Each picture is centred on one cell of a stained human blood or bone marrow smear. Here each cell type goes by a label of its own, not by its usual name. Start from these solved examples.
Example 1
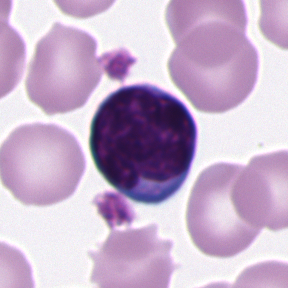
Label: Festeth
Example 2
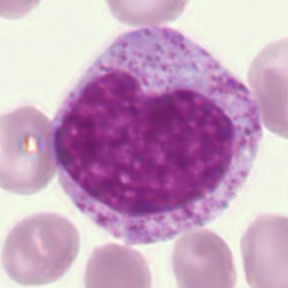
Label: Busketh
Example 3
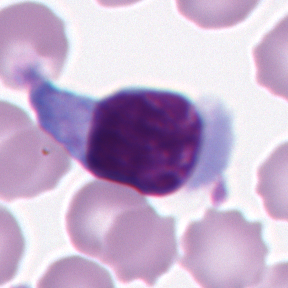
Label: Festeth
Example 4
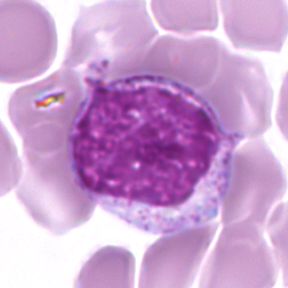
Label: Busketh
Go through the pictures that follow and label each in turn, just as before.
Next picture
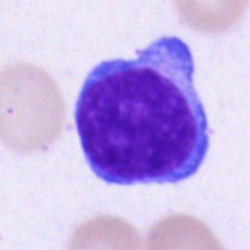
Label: Festeth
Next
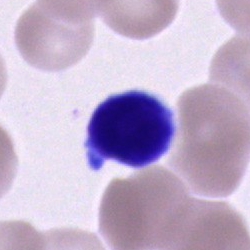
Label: Festeth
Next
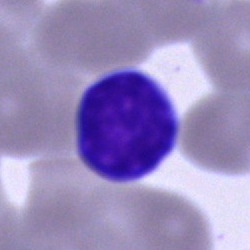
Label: Festeth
